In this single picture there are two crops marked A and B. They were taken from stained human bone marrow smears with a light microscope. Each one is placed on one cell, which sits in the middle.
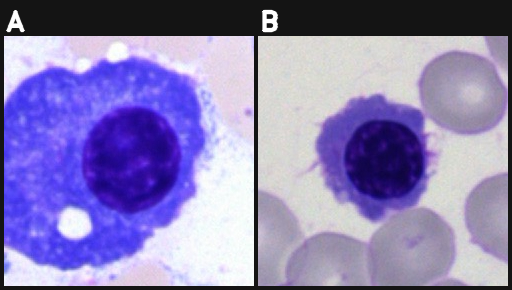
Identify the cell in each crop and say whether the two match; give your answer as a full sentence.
No, crop A captures a plasma cell; meanwhile crop B captures an erythroblast.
